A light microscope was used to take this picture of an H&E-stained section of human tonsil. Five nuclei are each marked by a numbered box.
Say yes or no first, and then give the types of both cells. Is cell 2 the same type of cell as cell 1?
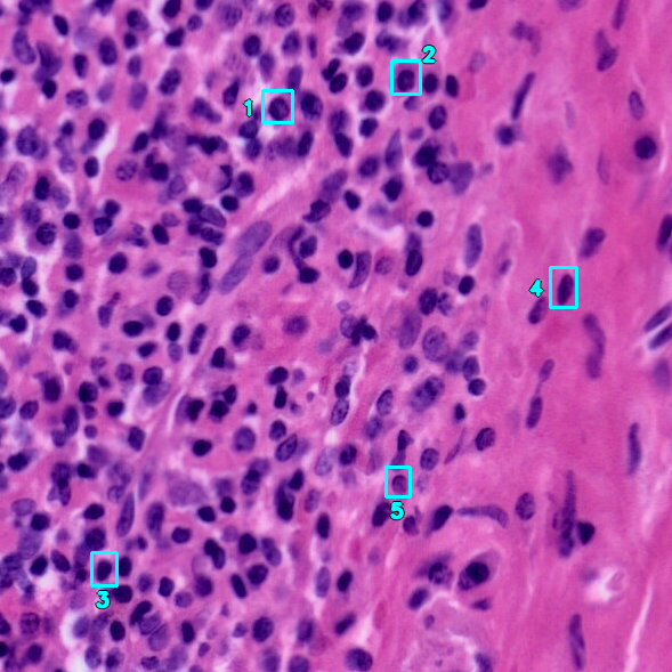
Yes, both of cells 2 and 1 are plasma cells.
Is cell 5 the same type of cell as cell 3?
No, the cell bearing number 5 is a mast cell, while the one bearing number 3 is a small lymphocyte.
